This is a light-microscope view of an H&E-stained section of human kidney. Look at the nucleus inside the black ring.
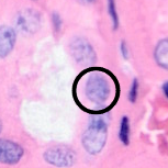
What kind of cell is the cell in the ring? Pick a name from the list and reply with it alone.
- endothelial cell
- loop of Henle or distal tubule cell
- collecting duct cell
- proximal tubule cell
collecting duct cell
